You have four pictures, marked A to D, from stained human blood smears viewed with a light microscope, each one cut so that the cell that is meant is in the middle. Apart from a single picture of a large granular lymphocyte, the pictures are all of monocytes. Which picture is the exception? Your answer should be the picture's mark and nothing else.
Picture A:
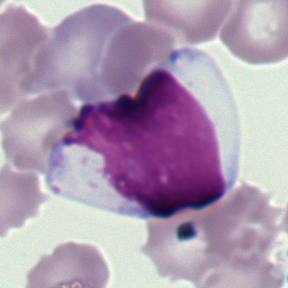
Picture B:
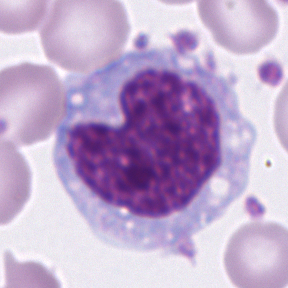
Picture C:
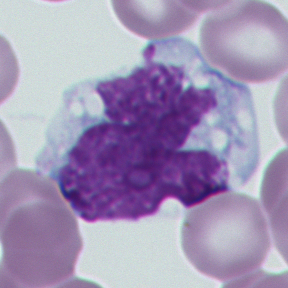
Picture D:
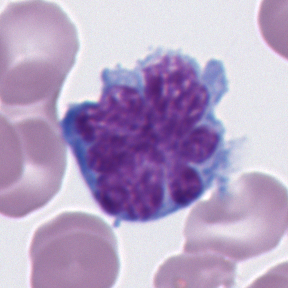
A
